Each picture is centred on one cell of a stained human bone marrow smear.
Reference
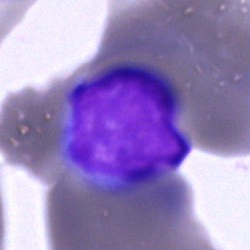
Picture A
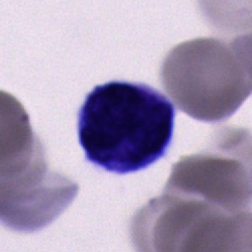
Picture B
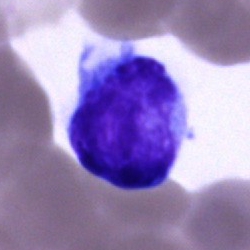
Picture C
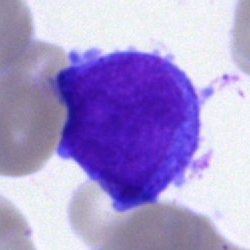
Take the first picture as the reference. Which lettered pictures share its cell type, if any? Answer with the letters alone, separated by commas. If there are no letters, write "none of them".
A, B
